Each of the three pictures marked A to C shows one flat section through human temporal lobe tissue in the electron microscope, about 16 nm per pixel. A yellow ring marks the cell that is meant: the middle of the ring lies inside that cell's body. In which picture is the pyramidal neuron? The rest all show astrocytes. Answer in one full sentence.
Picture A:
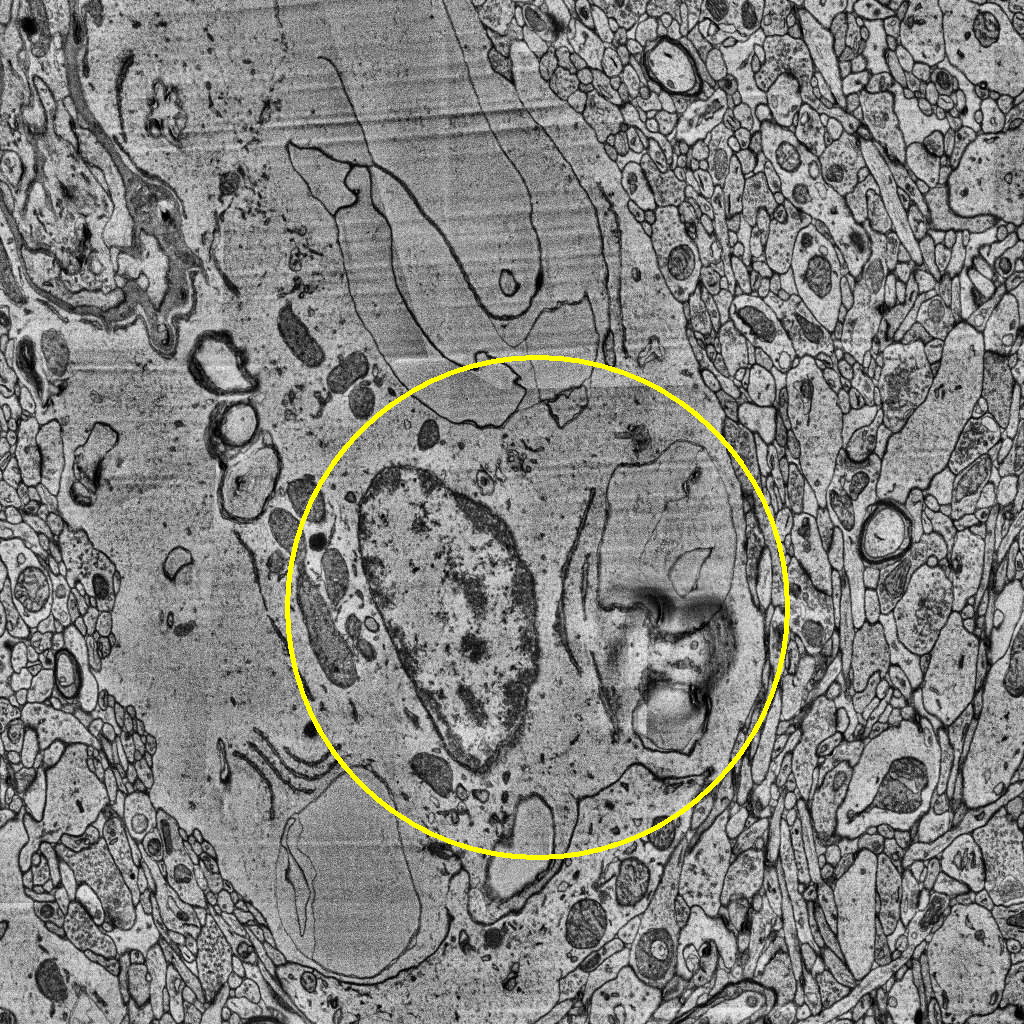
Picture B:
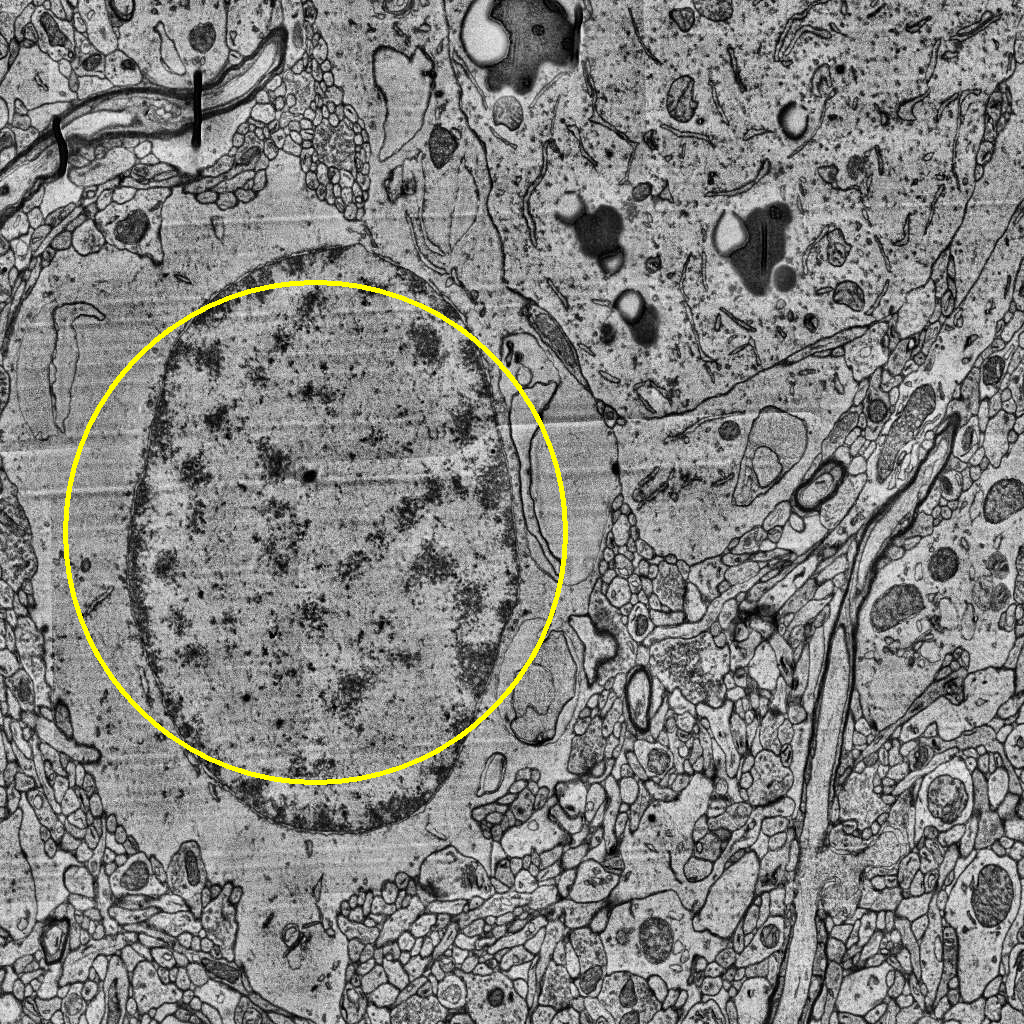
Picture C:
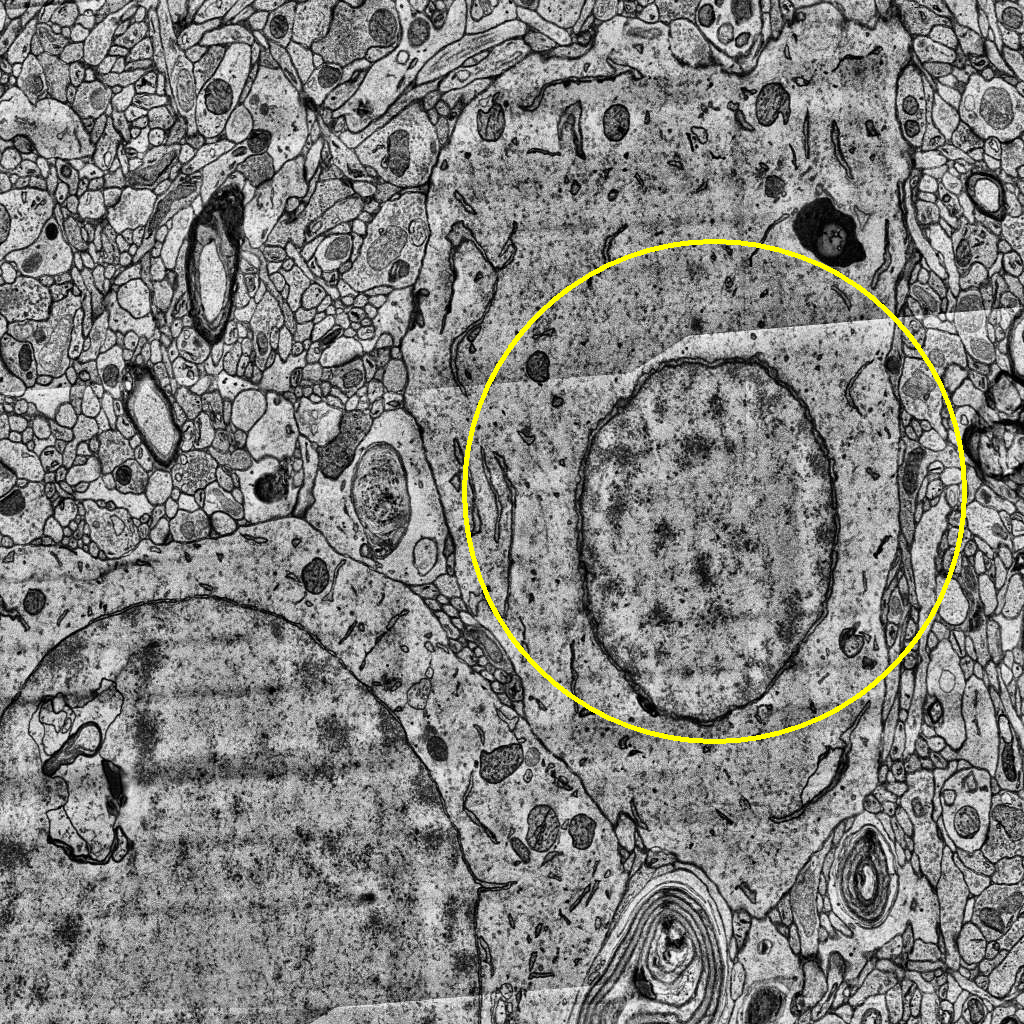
The pyramidal neuron is the one in picture C.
